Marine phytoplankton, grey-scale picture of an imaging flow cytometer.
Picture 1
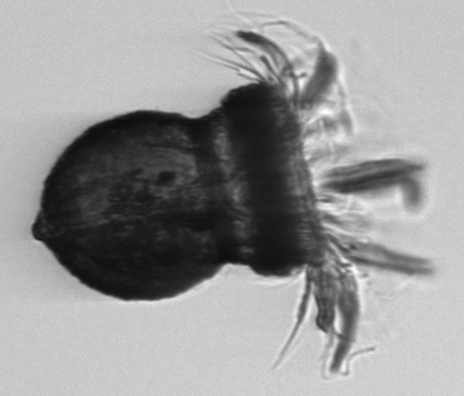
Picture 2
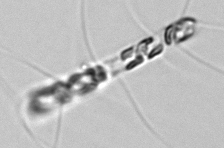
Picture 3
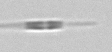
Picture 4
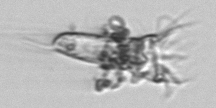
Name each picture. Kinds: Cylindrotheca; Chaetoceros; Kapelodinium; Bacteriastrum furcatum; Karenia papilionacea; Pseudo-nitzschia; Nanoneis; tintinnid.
Picture 1: tintinnid
Picture 2: Chaetoceros
Picture 3: Cylindrotheca
Picture 4: tintinnid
